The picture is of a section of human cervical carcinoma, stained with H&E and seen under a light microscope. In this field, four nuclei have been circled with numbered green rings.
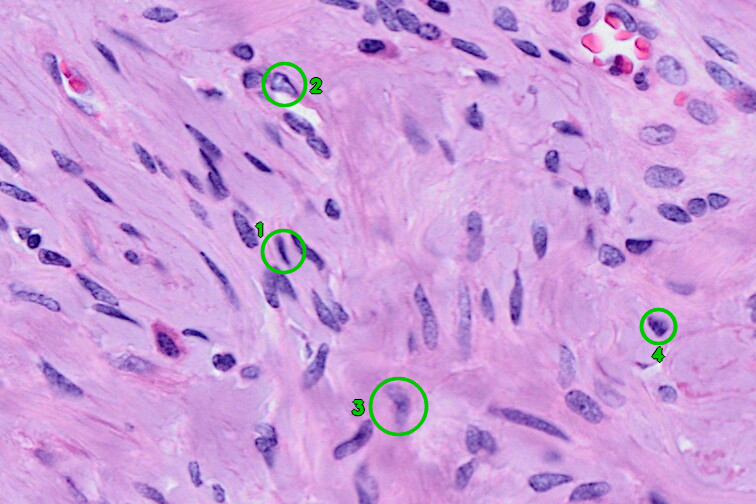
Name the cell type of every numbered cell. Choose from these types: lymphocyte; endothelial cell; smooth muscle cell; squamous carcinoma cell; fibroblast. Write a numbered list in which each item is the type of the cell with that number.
1. fibroblast
2. endothelial cell
3. fibroblast
4. fibroblast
